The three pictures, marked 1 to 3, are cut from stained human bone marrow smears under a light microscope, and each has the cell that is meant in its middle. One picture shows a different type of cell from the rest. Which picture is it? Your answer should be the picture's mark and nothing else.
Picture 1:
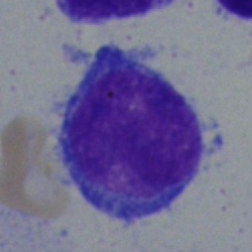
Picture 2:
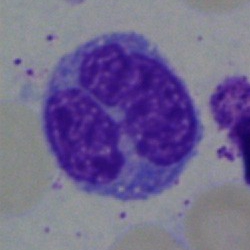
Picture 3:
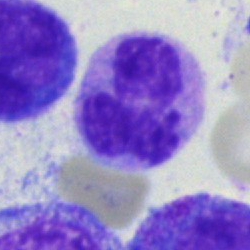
1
